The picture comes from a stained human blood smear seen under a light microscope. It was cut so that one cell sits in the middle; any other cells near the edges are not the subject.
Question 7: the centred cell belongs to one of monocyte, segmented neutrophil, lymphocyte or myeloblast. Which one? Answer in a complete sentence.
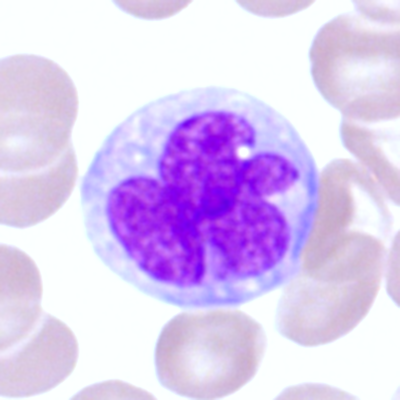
Classification of the middle cell gives a monocyte.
